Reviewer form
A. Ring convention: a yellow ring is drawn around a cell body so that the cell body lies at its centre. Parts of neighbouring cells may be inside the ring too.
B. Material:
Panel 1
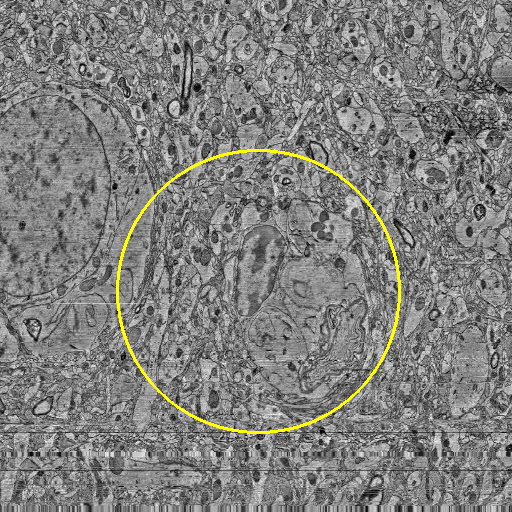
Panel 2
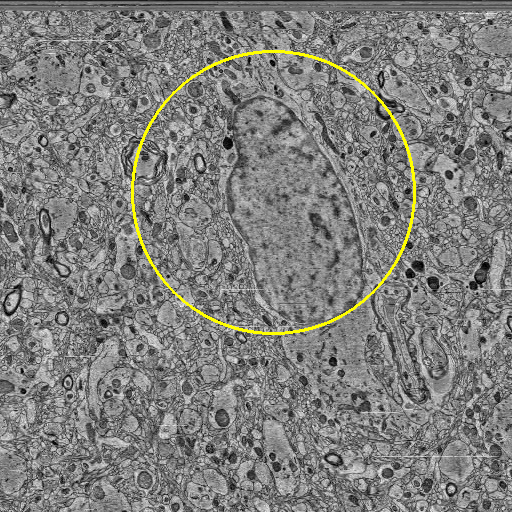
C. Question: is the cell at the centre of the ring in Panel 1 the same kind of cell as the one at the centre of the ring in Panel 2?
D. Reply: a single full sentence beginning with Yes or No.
Yes, the cells in Panel 1 and Panel 2 are the same kind of cell.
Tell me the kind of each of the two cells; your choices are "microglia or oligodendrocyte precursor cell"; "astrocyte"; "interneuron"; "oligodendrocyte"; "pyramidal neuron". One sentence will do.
Both pictures show a microglial cell or oligodendrocyte precursor cell at the centre of the ring.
